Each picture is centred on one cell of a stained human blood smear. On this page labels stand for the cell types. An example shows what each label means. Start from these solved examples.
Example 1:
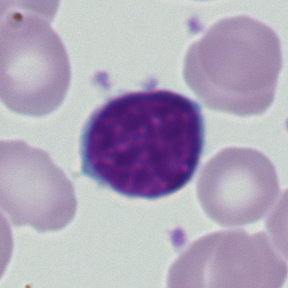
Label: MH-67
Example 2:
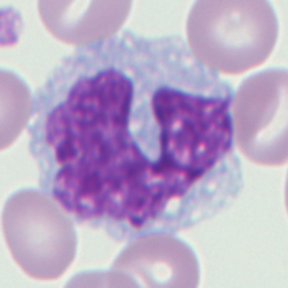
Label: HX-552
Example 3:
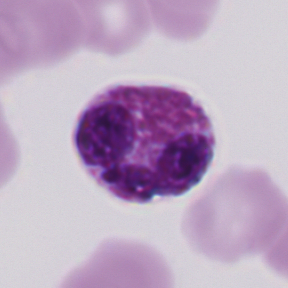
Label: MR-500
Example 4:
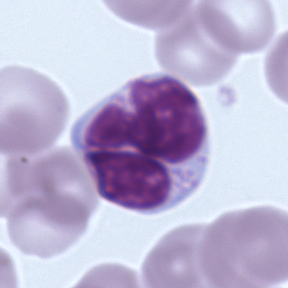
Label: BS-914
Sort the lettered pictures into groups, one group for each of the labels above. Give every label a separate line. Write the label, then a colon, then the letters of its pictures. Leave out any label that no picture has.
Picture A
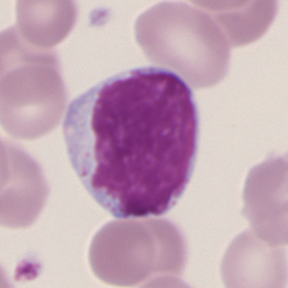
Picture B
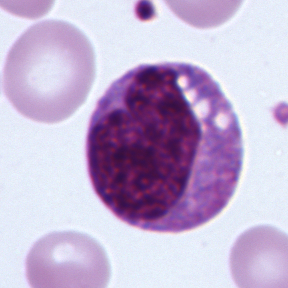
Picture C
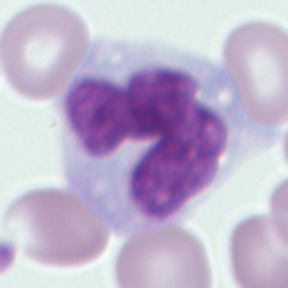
HX-552: B, C
BS-914: A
